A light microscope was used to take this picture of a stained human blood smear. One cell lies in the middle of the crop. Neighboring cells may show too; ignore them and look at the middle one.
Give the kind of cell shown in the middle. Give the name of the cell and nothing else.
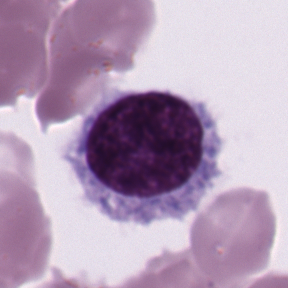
hairy cell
